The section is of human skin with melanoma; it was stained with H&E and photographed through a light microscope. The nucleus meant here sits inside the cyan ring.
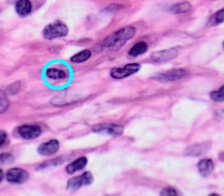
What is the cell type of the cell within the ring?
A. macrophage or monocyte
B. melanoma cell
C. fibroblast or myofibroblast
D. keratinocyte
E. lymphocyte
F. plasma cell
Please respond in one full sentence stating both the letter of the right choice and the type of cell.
Option F is the right one; the cell within the ring is a plasma cell.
